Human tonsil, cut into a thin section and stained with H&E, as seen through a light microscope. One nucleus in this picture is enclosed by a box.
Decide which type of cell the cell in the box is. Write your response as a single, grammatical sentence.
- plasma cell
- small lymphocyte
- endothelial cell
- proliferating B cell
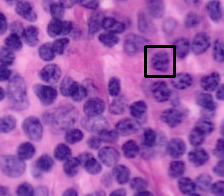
Labelled by cell type, the cell in the box is a plasma cell.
